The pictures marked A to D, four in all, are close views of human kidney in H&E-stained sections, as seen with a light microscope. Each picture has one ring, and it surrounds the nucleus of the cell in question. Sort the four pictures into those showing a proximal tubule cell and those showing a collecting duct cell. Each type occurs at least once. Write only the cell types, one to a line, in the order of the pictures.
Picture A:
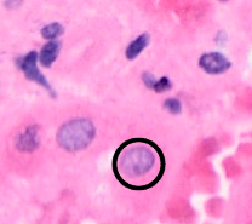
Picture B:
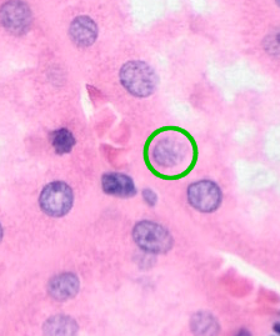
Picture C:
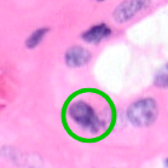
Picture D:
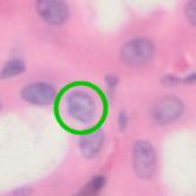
proximal tubule cell
proximal tubule cell
collecting duct cell
collecting duct cell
